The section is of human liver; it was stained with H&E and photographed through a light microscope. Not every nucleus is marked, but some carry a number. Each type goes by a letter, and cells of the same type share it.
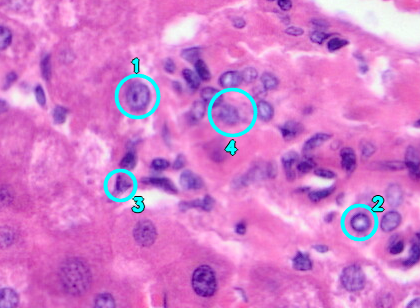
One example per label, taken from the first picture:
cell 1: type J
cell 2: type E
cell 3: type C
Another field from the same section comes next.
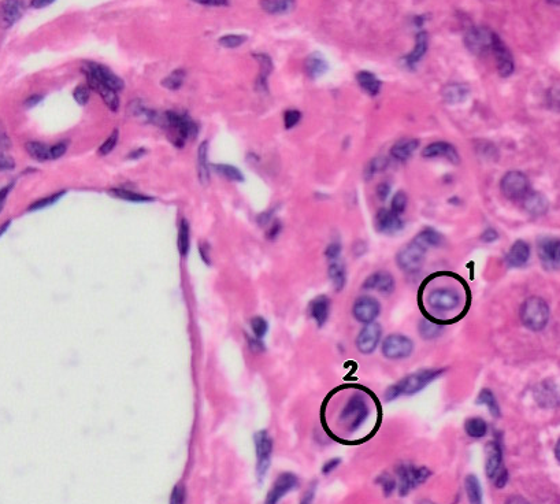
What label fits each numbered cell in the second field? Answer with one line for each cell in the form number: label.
1: type E
2: type C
